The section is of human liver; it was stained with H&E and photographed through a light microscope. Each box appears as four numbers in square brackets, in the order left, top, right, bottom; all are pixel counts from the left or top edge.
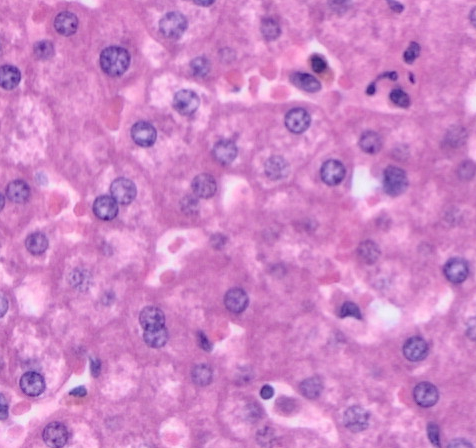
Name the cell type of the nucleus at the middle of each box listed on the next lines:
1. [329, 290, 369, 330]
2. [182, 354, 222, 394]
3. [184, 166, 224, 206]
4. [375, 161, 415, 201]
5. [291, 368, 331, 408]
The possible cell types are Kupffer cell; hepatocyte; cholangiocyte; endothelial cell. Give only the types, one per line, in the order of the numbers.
Kupffer cell
hepatocyte
hepatocyte
endothelial cell
hepatocyte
